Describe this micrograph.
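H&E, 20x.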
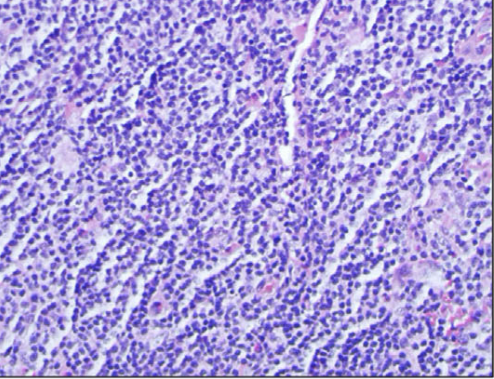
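Sheets of small to medium-sized lymphocytes fill the field, packed closely together with little intervening tissue. Their nuclei are round to irregular and stain dark purple, with only a thin rim of pale cytoplasm around each. A few slender pink strands of stroma and small vessels run between the cells.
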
